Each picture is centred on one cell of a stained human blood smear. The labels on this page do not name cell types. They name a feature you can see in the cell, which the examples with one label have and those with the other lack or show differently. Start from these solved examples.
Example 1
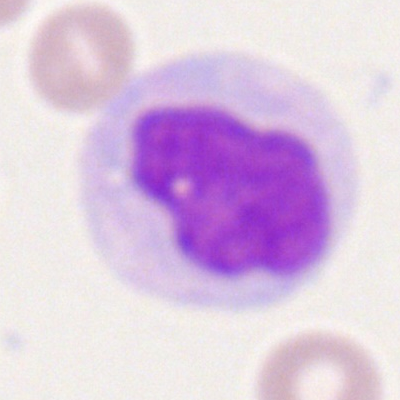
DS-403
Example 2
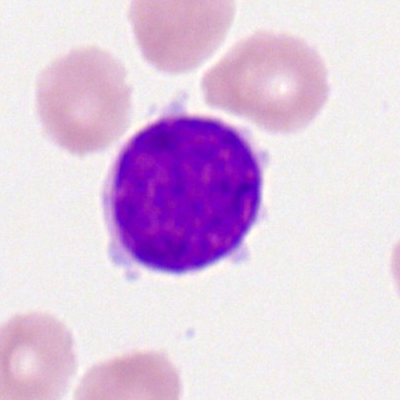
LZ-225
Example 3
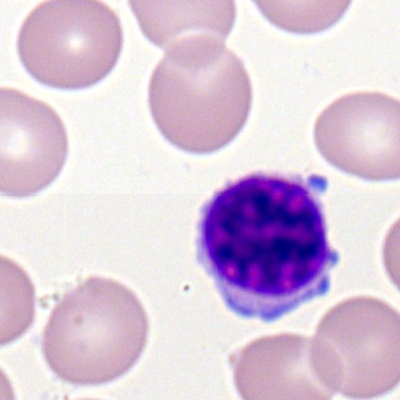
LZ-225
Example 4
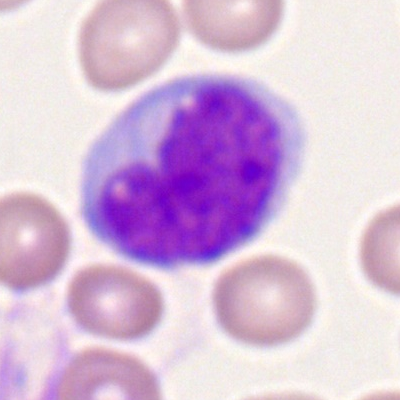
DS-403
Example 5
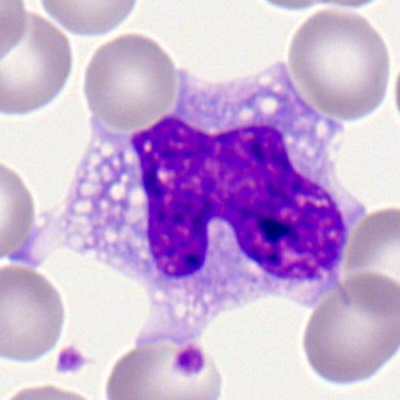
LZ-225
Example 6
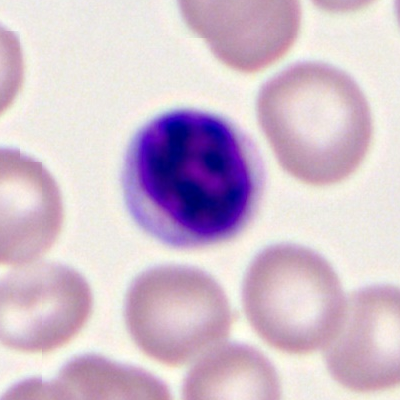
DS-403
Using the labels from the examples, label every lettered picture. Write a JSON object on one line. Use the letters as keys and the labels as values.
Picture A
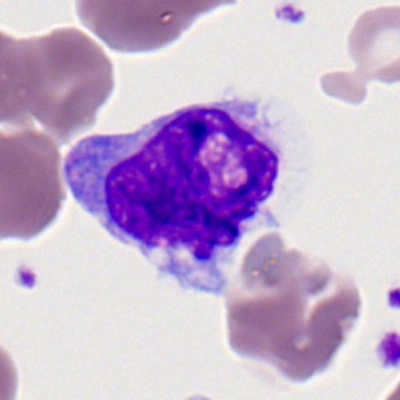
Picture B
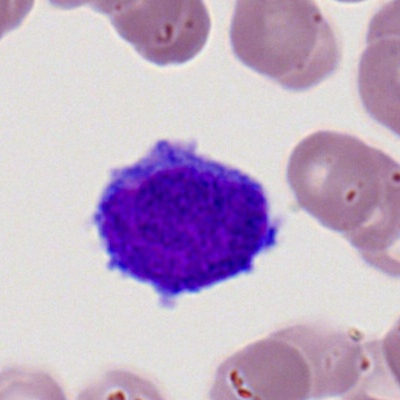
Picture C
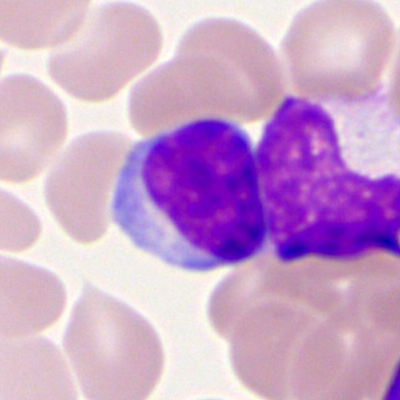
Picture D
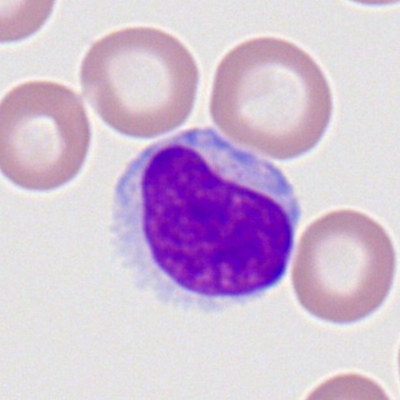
{"A": "LZ-225", "B": "LZ-225", "C": "DS-403", "D": "LZ-225"}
